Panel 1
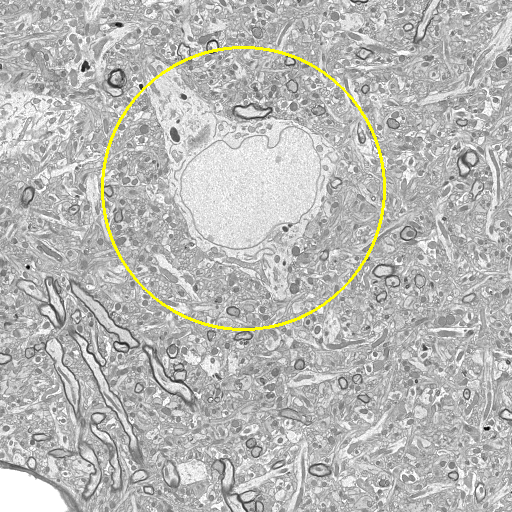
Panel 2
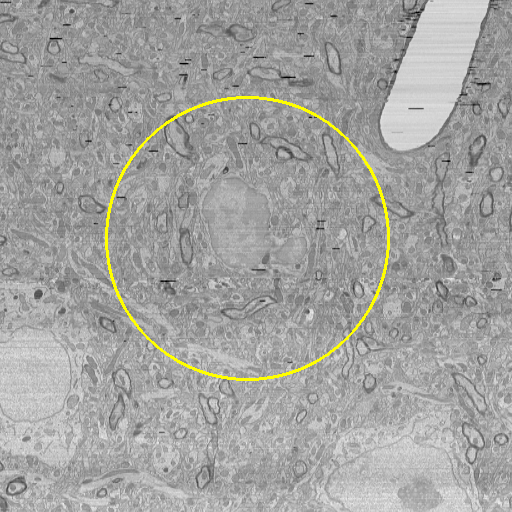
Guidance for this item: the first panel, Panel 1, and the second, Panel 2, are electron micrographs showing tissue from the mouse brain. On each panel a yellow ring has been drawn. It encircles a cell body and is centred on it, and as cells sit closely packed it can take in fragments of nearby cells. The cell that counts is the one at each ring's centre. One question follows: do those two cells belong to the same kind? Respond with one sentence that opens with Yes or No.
No, the cells at the ring centres in Panel 1 and Panel 2 are of two kinds.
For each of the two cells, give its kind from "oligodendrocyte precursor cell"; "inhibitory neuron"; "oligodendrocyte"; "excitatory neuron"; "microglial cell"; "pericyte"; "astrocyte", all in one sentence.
The first picture has an excitatory neuron in its ring, the second has a microglial cell.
